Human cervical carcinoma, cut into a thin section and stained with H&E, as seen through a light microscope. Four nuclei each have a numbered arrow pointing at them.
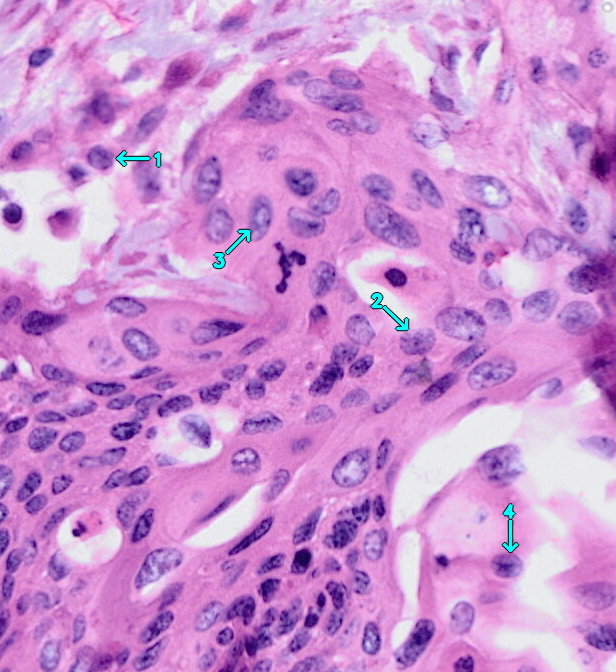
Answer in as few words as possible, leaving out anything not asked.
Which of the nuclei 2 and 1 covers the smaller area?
1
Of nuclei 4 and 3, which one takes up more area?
3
